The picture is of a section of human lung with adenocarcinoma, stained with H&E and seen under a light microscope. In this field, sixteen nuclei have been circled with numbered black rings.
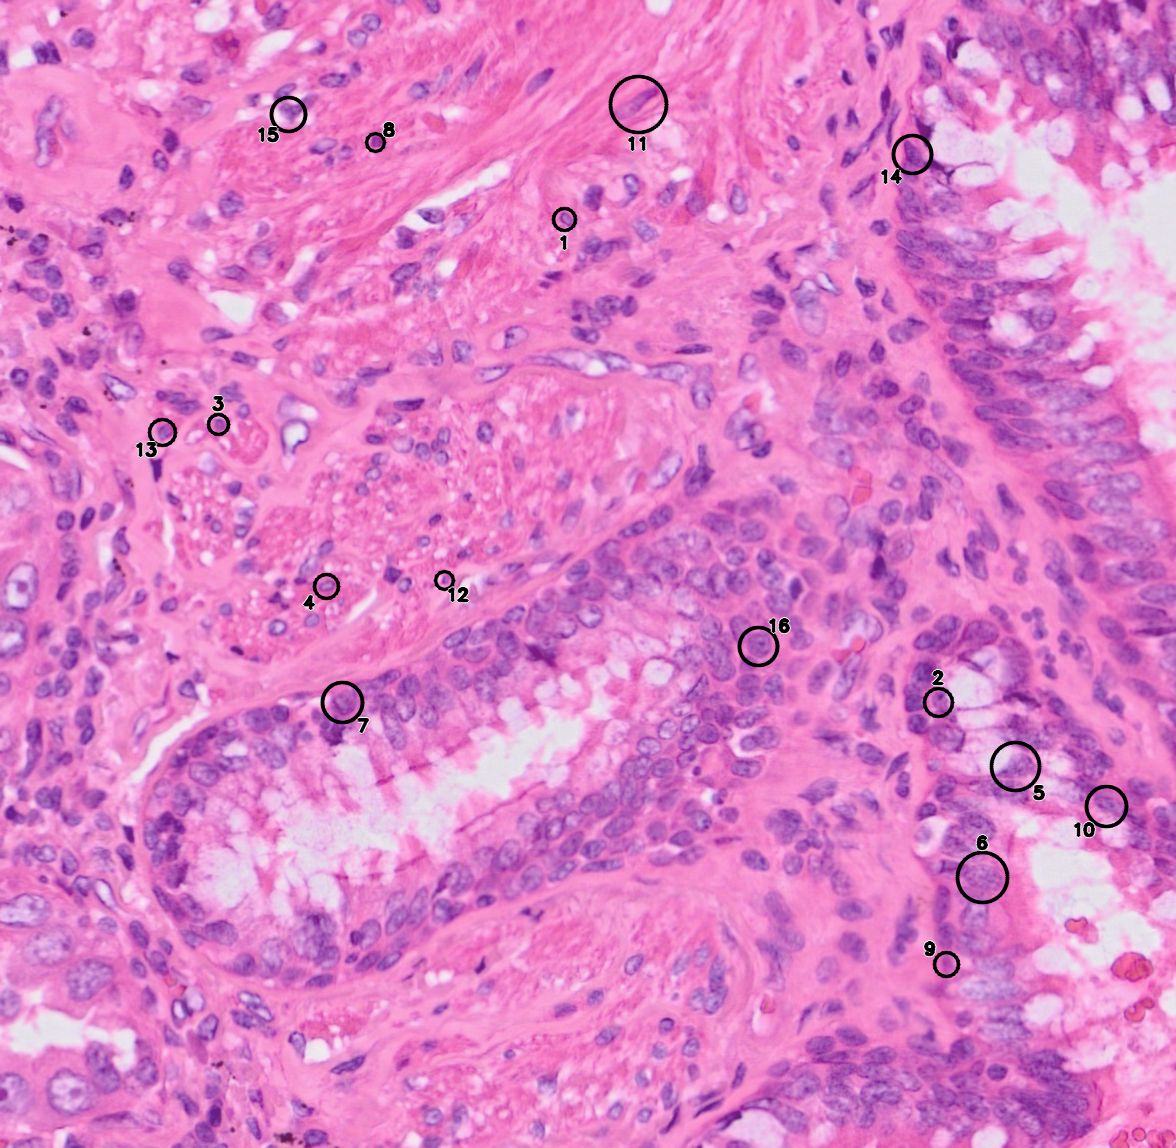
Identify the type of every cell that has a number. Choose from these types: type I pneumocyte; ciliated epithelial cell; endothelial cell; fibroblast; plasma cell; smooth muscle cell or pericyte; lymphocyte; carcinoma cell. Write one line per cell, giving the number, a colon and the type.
1: smooth muscle cell or pericyte
2: ciliated epithelial cell
3: smooth muscle cell or pericyte
4: smooth muscle cell or pericyte
5: ciliated epithelial cell
6: ciliated epithelial cell
7: ciliated epithelial cell
8: smooth muscle cell or pericyte
9: ciliated epithelial cell
10: ciliated epithelial cell
11: smooth muscle cell or pericyte
12: smooth muscle cell or pericyte
13: smooth muscle cell or pericyte
14: ciliated epithelial cell
15: smooth muscle cell or pericyte
16: ciliated epithelial cell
